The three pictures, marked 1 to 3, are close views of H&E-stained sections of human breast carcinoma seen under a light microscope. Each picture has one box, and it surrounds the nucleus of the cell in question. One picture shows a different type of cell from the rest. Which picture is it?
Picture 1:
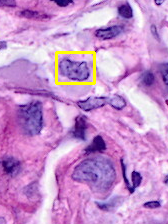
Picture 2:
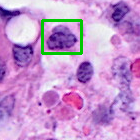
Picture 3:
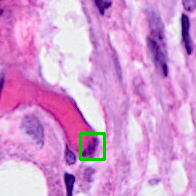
3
